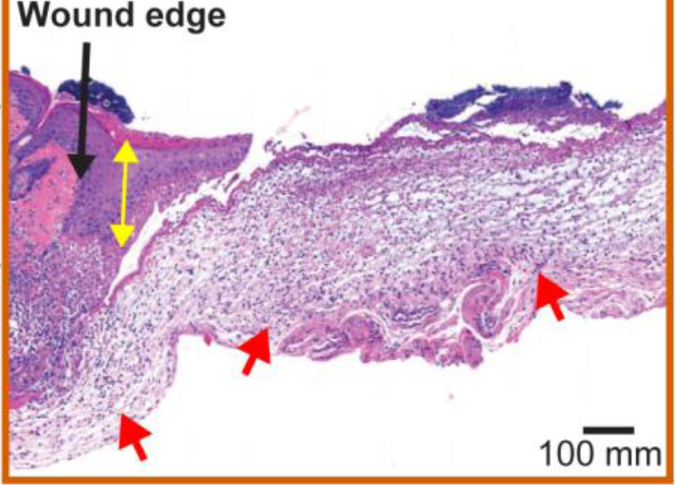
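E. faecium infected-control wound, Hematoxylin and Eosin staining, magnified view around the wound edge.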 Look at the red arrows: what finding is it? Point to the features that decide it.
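Immune cell infiltration. The tissue near the red arrows is crowded with many small dark purple nuclei. This densely cellular tissue fills the wound bed beside the pink dermis.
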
